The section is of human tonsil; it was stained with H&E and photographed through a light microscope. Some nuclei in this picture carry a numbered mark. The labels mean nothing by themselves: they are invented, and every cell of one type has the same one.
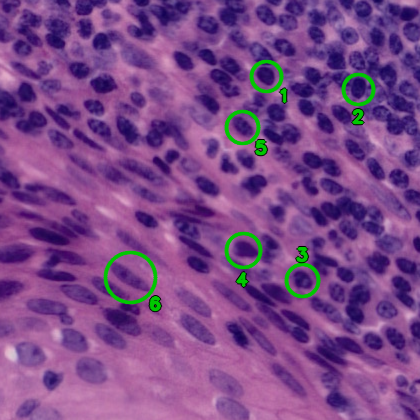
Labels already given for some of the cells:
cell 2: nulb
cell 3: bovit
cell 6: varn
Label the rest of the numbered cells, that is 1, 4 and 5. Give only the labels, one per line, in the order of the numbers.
bovit
varn
bovit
